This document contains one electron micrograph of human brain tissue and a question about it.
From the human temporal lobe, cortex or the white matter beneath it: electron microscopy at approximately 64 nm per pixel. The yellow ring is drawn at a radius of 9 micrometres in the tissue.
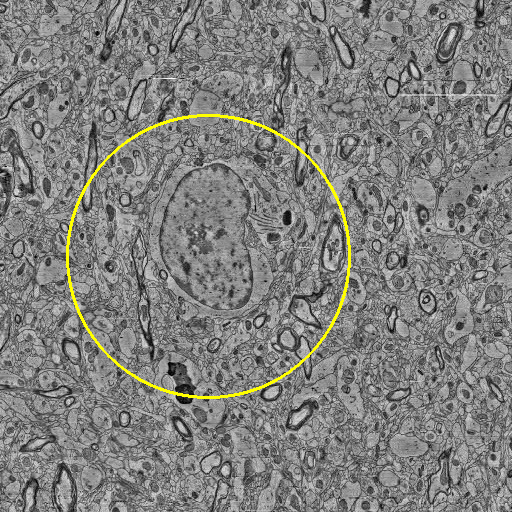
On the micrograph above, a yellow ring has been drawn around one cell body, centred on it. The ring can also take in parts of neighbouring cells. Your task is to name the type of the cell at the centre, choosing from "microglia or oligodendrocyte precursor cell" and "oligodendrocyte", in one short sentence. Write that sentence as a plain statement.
Here the ring is centred on a microglial cell or oligodendrocyte precursor cell.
